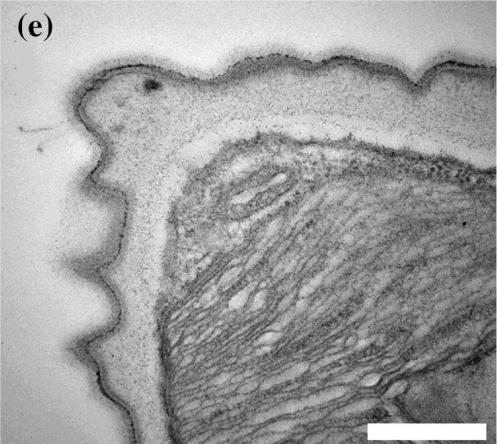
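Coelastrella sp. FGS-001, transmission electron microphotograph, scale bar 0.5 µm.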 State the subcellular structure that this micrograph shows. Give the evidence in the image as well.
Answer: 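A thick pale layer with an undulating outer surface borders the cell. A thin dark line runs along the outermost edge of the layer. Membrane-filled cytoplasm lies beneath the layer.
Hence: Cell wall.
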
